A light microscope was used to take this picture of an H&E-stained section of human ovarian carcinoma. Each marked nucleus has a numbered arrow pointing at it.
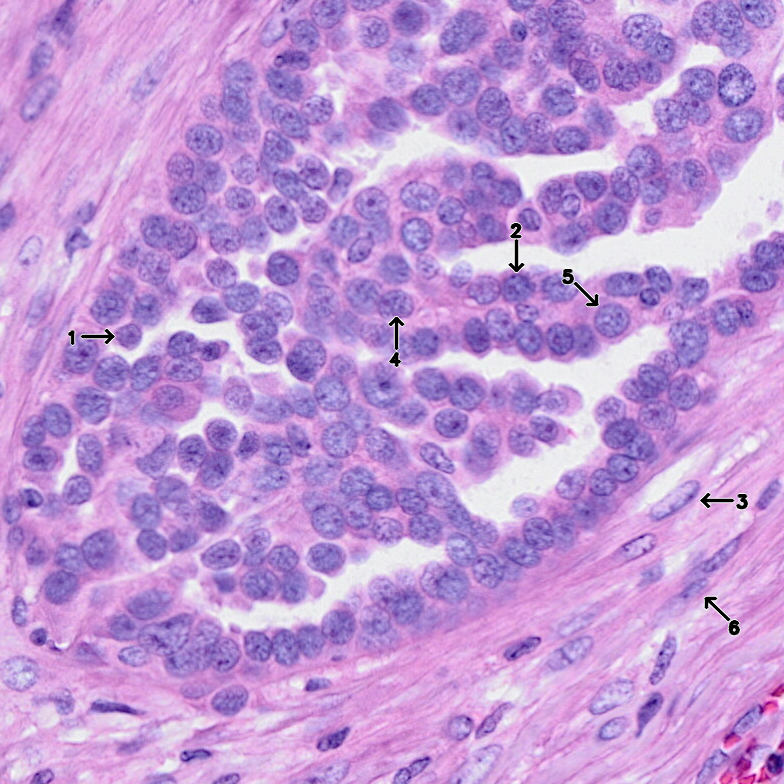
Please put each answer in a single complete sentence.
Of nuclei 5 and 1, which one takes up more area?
At about 2 times the area of nucleus 1, nucleus 5 is the larger of the two.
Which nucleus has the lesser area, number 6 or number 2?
Number 6 is smaller, since number 2 takes up about 1.5 times as much area.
